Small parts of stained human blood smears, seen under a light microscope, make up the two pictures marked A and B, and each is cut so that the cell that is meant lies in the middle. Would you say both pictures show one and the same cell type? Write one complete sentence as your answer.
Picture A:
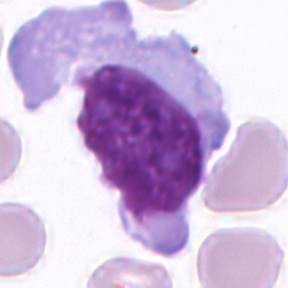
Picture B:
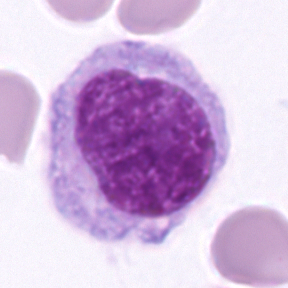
Yes; the cells in both pictures are plasma cells.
